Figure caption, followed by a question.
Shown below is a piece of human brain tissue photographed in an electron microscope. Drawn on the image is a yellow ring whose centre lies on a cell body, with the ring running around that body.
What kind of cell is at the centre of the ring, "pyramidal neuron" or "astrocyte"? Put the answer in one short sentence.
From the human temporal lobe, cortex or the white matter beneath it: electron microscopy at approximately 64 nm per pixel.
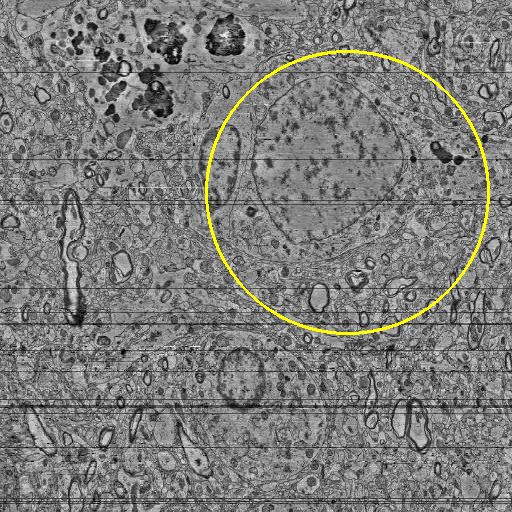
The ring marks the cell body of a pyramidal neuron.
